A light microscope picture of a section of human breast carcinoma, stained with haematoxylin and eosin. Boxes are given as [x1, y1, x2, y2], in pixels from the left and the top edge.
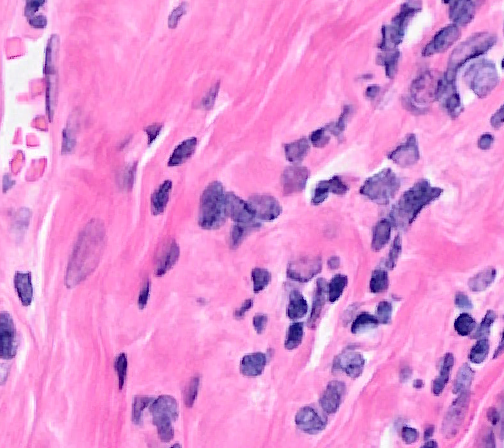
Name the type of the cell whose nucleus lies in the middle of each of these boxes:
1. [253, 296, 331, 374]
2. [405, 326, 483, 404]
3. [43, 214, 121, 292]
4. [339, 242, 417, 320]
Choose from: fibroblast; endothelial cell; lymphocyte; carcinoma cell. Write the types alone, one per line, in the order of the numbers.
lymphocyte
lymphocyte
fibroblast
lymphocyte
